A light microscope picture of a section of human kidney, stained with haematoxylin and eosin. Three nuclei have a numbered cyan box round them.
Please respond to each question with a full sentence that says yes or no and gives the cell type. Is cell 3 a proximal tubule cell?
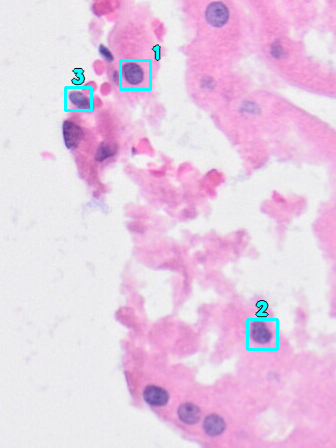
No, number 3 identifies an endothelial cell, not a proximal tubule cell.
